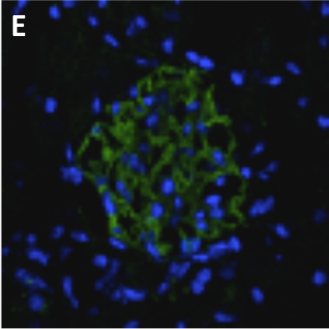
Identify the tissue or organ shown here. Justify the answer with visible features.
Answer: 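A round tuft of convoluted green lines stands out from the surrounding tissue. Blue nuclei are clustered within the tuft and scattered more sparsely around it.
Glomeruli.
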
